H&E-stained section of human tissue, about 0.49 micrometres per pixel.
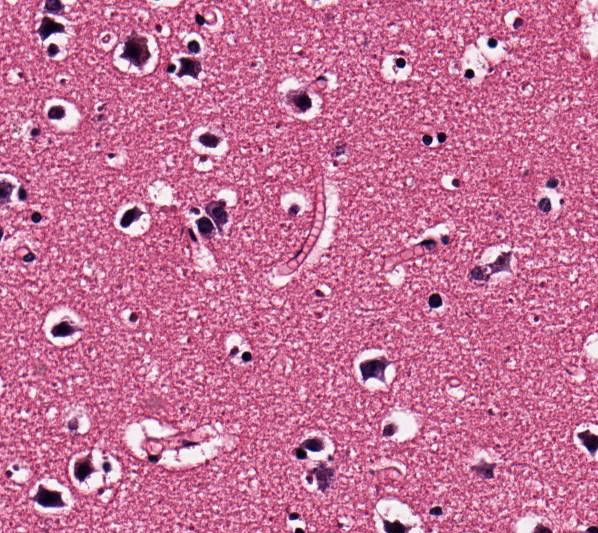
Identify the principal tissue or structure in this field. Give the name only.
cerebral cortex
